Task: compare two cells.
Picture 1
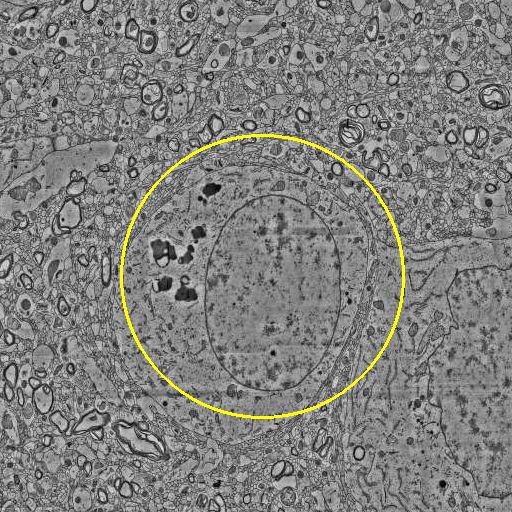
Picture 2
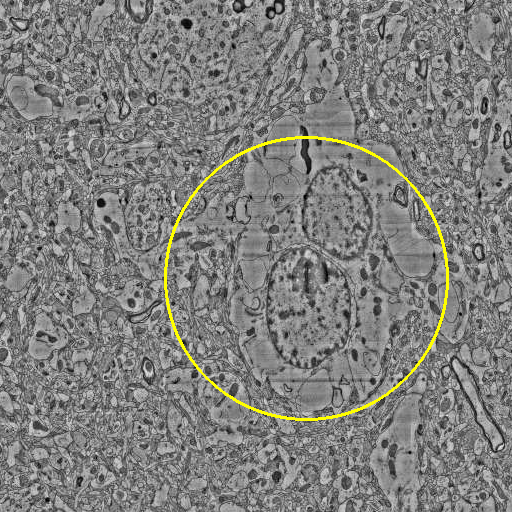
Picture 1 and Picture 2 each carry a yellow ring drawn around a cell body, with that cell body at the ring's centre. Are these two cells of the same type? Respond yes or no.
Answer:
no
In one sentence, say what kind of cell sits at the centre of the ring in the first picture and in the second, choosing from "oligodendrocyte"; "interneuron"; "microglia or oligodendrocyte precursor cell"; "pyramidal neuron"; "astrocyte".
The first picture's ringed cell is a pyramidal neuron, while the second picture's is an astrocyte.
